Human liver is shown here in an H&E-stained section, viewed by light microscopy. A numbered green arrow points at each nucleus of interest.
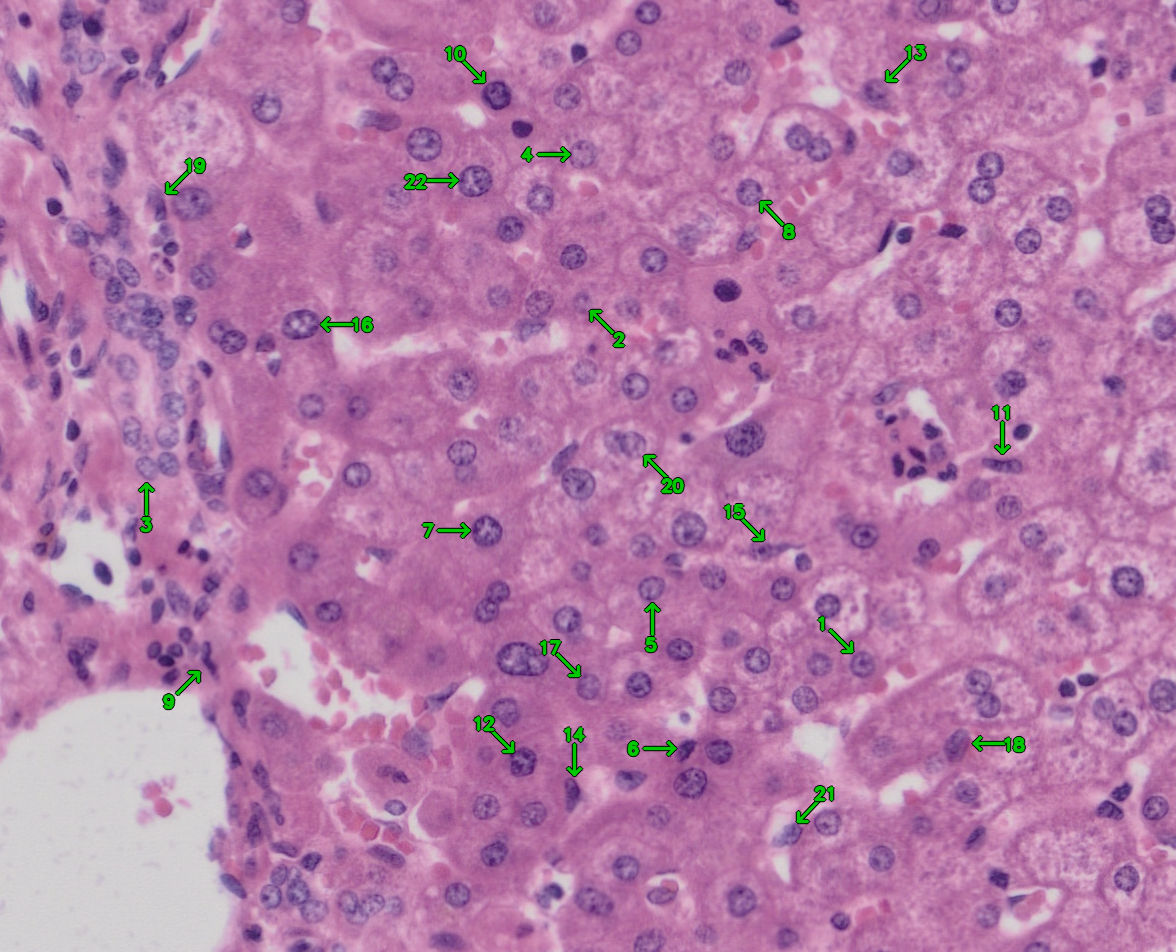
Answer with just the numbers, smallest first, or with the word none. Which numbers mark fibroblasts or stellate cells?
6, 9, 14, 19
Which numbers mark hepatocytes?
1, 2, 4, 5, 7, 8, 10, 12, 16, 17, 20, 22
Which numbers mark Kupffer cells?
11, 13, 15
